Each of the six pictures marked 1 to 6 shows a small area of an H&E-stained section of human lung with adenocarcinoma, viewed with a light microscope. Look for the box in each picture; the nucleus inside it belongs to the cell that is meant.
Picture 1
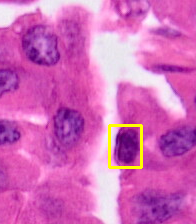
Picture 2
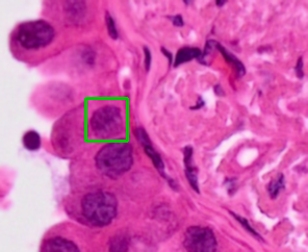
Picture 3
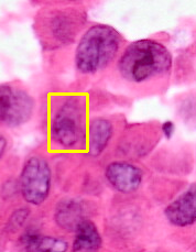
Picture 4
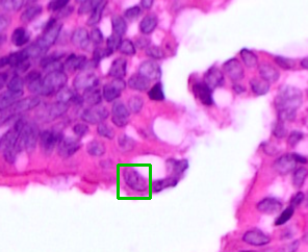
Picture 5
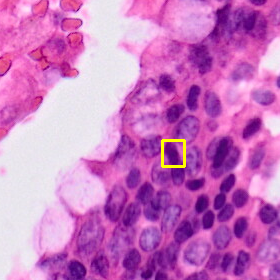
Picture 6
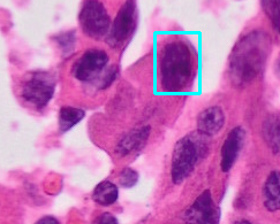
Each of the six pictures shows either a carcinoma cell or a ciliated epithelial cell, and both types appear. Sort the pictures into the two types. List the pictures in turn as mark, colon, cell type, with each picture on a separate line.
1: carcinoma cell
2: carcinoma cell
3: carcinoma cell
4: ciliated epithelial cell
5: ciliated epithelial cell
6: carcinoma cell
